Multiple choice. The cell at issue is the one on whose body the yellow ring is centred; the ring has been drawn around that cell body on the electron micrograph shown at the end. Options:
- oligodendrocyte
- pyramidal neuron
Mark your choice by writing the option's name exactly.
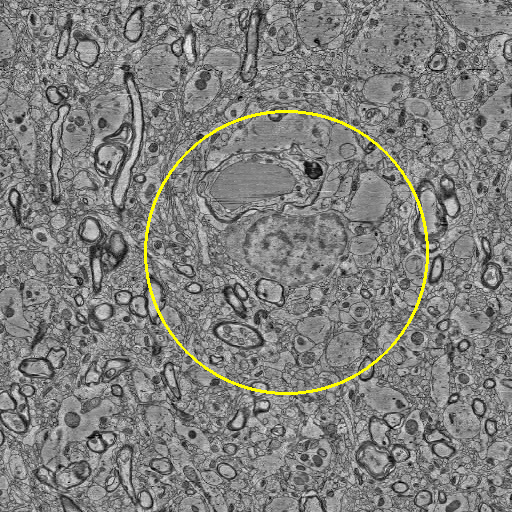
oligodendrocyte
